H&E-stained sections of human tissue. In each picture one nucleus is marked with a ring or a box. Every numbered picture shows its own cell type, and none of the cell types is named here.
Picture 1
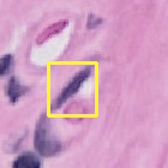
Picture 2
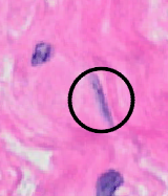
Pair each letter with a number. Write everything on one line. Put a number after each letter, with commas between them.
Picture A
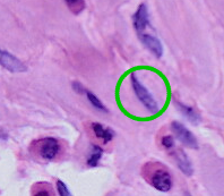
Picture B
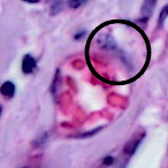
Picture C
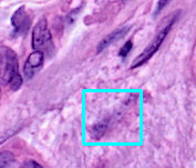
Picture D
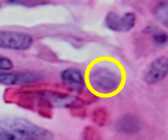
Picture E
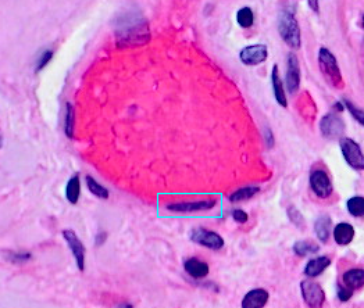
A 2, B 1, C 2, D 1, E 1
